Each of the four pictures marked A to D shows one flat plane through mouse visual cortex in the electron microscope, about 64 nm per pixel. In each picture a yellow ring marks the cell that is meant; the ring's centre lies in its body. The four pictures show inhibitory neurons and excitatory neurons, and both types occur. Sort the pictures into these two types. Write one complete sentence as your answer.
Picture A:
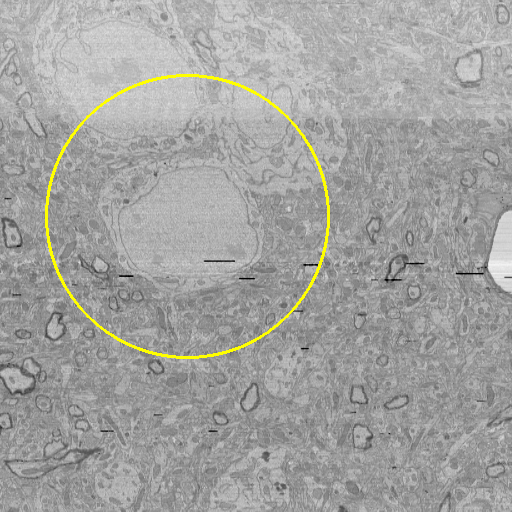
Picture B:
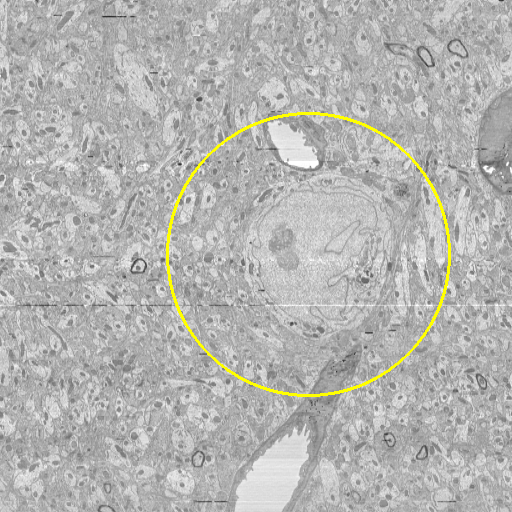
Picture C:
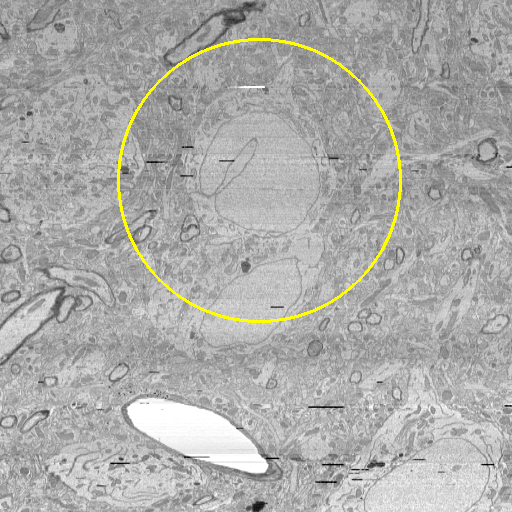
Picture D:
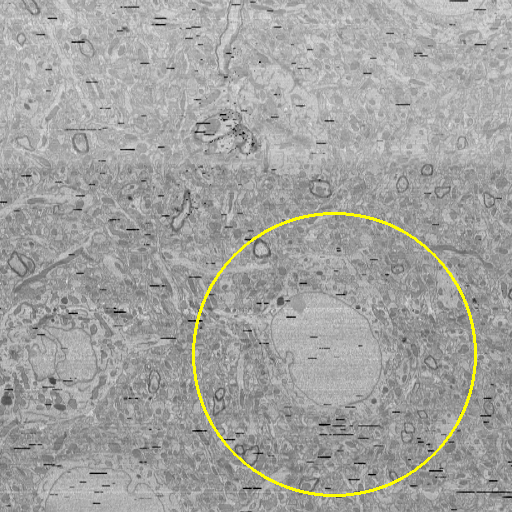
Picture B shows an inhibitory neuron; pictures A, C and D show excitatory neurons.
